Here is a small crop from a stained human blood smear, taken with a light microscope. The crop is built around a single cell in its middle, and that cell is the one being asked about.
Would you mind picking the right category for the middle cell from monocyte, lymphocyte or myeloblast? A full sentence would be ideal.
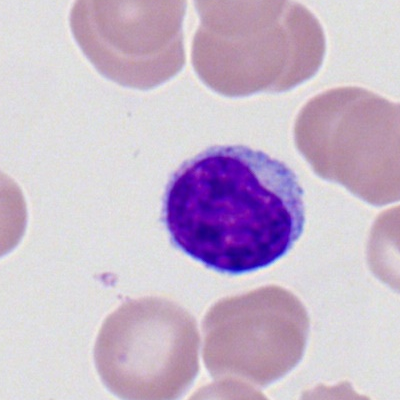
The cell centered in this field of view is a lymphocyte.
